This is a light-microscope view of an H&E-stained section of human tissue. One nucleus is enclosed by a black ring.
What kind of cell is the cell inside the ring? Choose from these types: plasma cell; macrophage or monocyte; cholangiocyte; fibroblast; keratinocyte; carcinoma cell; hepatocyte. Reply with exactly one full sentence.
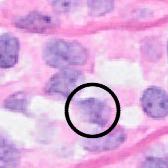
In this preparation, the cell inside the ring is a carcinoma cell.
